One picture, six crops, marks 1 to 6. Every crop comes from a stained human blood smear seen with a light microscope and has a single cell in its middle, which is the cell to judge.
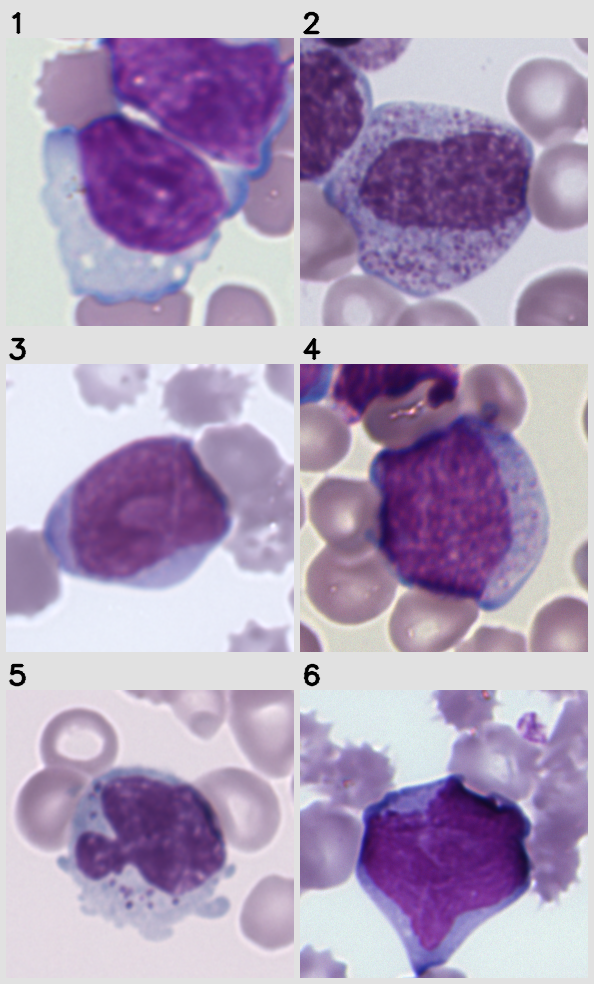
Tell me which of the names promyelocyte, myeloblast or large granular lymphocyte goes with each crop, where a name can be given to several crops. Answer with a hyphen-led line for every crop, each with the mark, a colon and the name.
- 1: myeloblast
- 2: promyelocyte
- 3: myeloblast
- 4: promyelocyte
- 5: large granular lymphocyte
- 6: myeloblast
